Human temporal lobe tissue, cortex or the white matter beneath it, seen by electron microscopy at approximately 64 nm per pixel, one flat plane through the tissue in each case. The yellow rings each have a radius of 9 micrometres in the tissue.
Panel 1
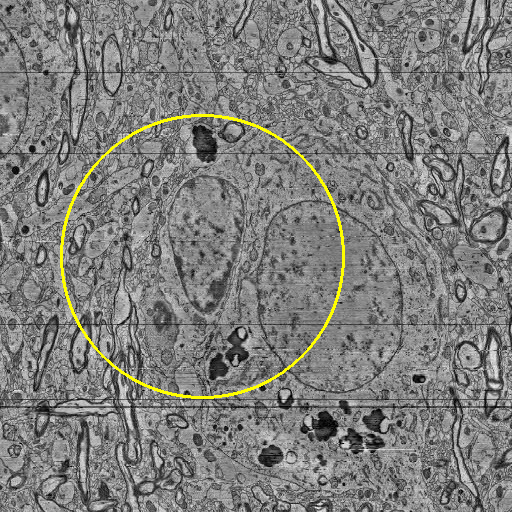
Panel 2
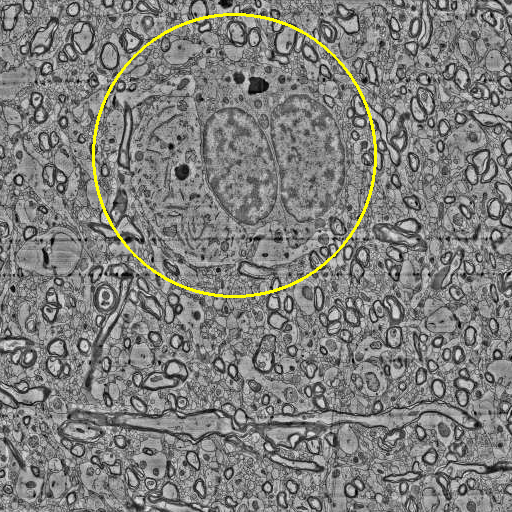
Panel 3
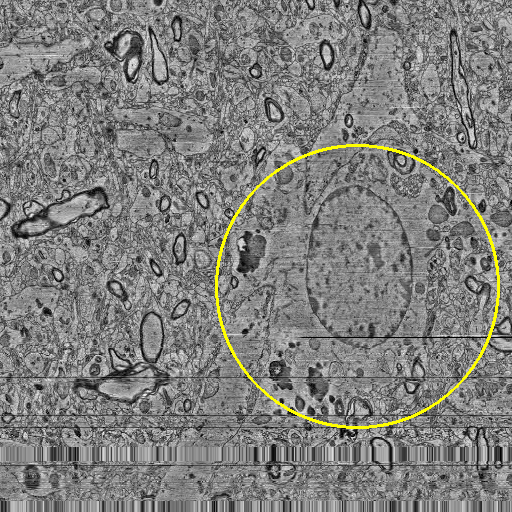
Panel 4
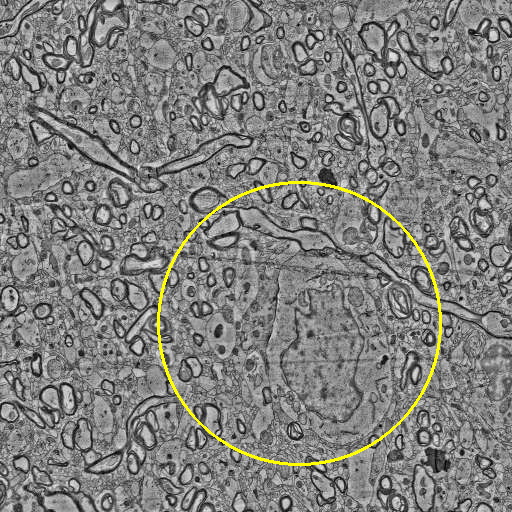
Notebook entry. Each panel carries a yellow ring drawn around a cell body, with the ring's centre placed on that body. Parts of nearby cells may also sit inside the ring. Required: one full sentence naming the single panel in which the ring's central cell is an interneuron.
Panel 4 is the single one with the sought cell at its ring's centre.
